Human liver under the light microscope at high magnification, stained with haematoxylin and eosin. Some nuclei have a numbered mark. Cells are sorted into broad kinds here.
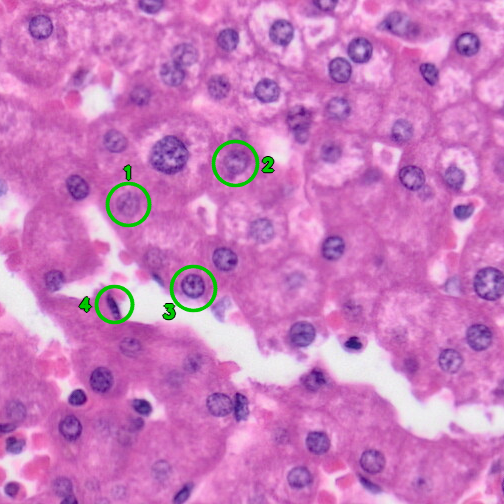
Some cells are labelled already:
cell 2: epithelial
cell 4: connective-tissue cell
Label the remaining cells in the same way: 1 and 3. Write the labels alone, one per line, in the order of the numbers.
epithelial
epithelial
